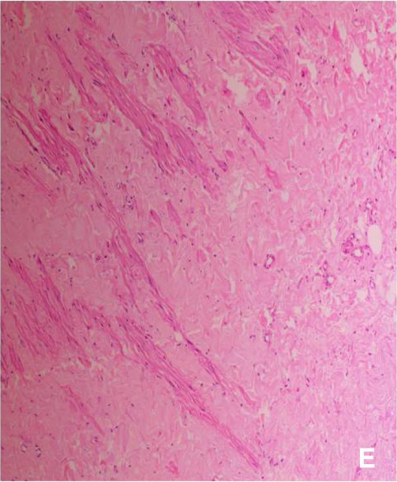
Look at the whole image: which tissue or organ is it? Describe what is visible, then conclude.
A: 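Smooth muscle fibres. Elongated, darker pink fibre bundles run in parallel obliquely. Fibre bundles lie within pale pink hyalinised material.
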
